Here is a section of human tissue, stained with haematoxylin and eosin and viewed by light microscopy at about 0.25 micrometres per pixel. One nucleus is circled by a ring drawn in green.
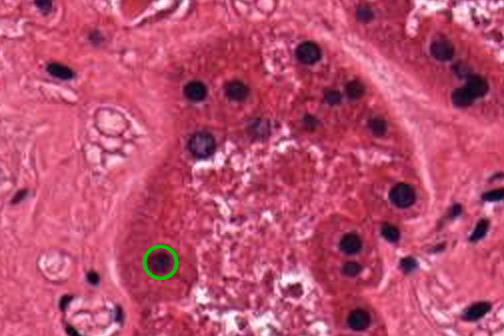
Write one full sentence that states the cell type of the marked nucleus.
The marked nucleus is identified as belonging to a proximal tubule cell.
